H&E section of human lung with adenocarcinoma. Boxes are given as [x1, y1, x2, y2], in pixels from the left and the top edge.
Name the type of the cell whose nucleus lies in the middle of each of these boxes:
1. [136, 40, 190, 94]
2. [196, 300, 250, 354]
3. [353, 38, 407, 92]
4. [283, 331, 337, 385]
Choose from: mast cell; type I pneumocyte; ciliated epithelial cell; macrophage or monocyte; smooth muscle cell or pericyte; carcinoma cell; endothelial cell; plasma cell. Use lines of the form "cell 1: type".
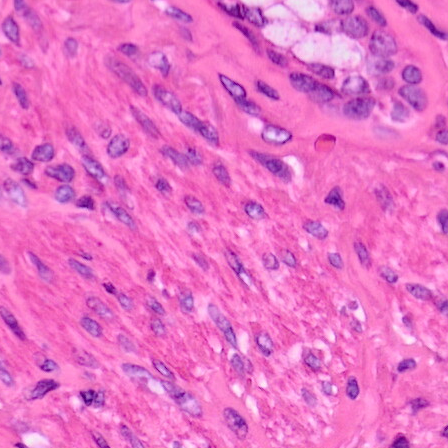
cell 1: smooth muscle cell or pericyte
cell 2: smooth muscle cell or pericyte
cell 3: ciliated epithelial cell
cell 4: smooth muscle cell or pericyte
